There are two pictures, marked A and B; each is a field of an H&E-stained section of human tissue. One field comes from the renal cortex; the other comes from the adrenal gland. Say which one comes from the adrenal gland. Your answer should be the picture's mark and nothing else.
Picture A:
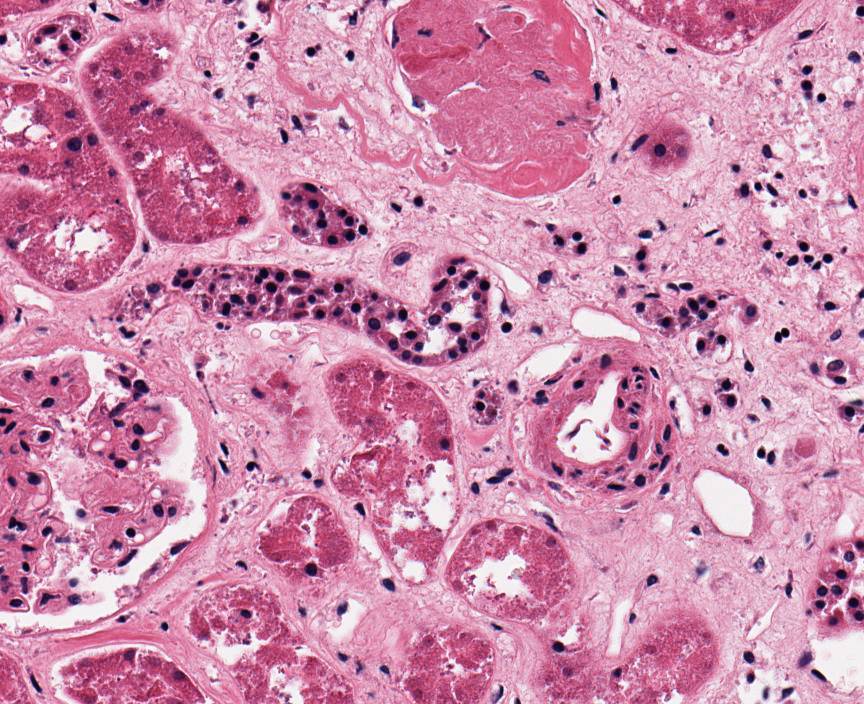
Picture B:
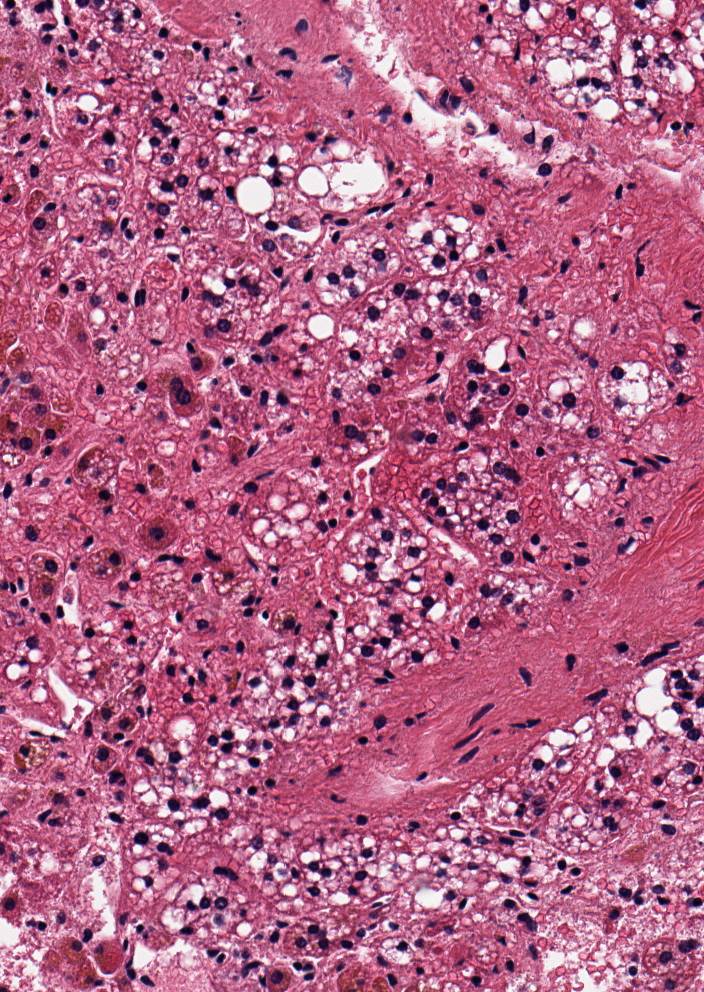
B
